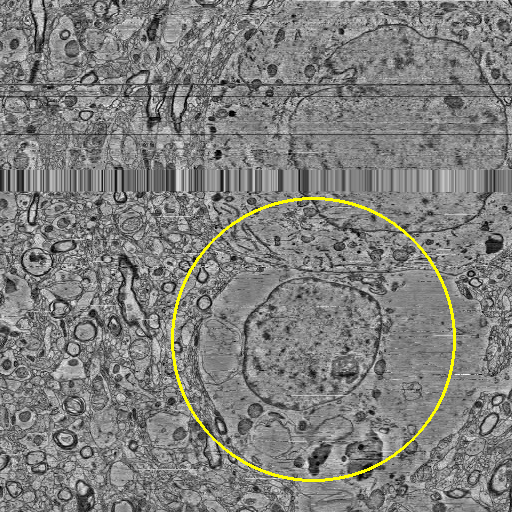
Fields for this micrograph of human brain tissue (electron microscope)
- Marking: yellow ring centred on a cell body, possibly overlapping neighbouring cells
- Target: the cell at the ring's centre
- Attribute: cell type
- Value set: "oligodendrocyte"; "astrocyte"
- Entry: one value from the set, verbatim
astrocyte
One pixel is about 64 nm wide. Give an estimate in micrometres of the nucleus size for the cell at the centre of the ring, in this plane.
Approximately 10 by 8 micrometers in this plane.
